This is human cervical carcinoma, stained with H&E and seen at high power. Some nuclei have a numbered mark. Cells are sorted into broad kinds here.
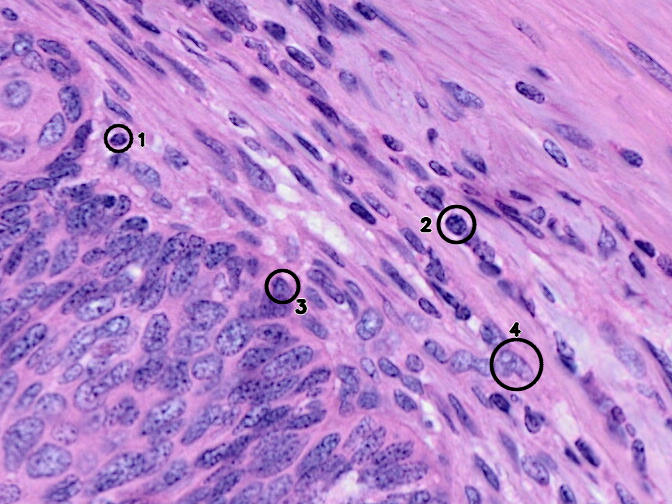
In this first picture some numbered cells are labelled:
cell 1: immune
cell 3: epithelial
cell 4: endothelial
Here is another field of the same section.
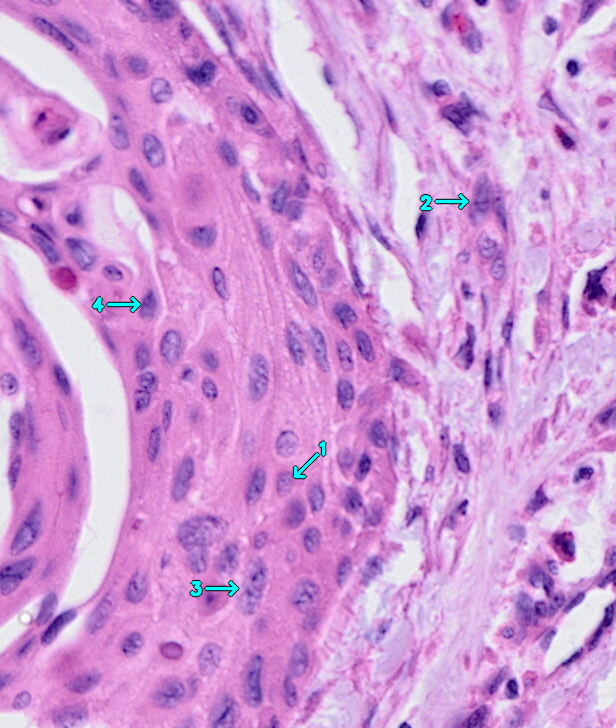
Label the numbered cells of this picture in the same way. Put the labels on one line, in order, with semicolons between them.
epithelial; endothelial; epithelial; epithelial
